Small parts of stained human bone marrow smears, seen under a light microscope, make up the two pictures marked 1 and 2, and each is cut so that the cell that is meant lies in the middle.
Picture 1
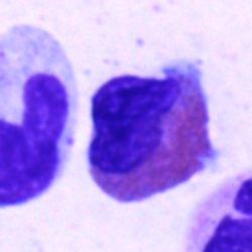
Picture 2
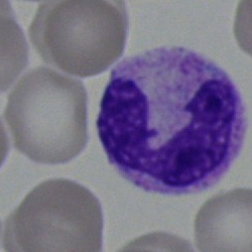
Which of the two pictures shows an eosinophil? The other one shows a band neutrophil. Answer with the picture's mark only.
1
